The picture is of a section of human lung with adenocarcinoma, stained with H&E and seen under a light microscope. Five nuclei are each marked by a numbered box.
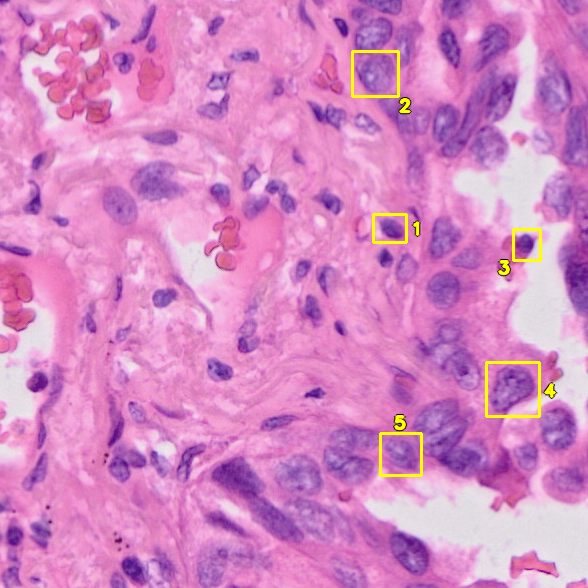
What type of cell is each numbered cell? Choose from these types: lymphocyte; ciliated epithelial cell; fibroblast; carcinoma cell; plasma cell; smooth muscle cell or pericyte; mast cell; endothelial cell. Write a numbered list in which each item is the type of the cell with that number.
1. lymphocyte
2. carcinoma cell
3. lymphocyte
4. carcinoma cell
5. carcinoma cell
